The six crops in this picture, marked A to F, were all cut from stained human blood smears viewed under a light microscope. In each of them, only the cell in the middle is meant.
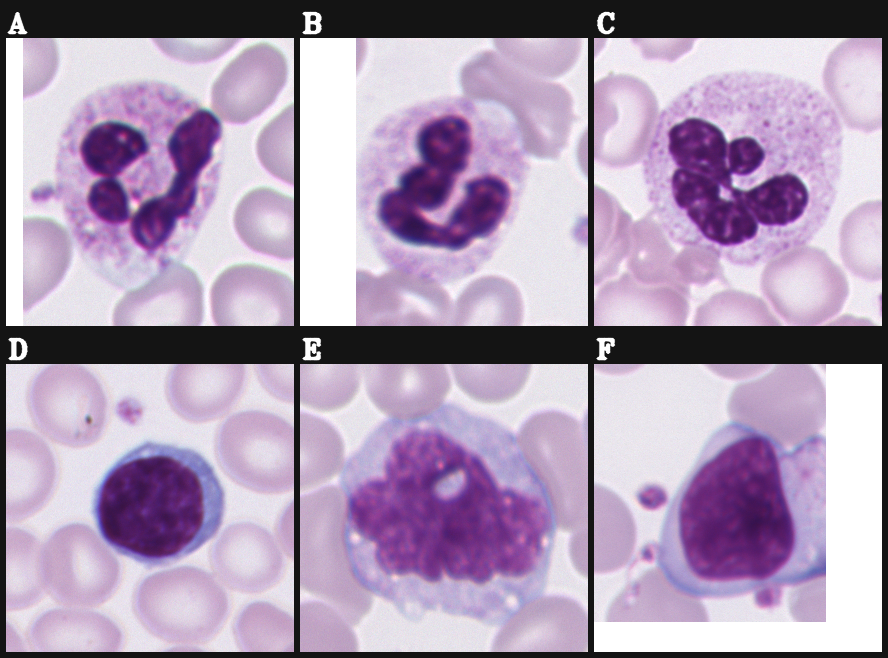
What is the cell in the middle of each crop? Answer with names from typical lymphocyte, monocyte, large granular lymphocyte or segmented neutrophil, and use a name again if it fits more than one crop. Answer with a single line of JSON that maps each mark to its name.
{"A": "segmented neutrophil", "B": "segmented neutrophil", "C": "segmented neutrophil", "D": "typical lymphocyte", "E": "monocyte", "F": "large granular lymphocyte"}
